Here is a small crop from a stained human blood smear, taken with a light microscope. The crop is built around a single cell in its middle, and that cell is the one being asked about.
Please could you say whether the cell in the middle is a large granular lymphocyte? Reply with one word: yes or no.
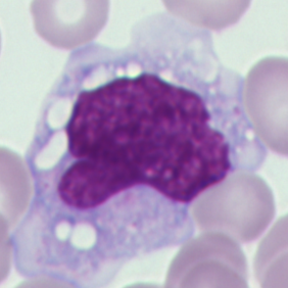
no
